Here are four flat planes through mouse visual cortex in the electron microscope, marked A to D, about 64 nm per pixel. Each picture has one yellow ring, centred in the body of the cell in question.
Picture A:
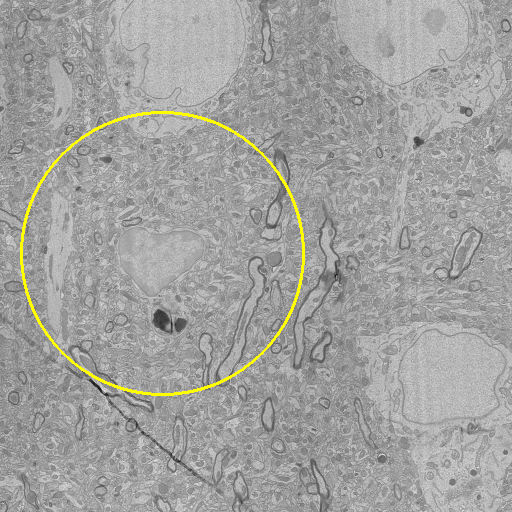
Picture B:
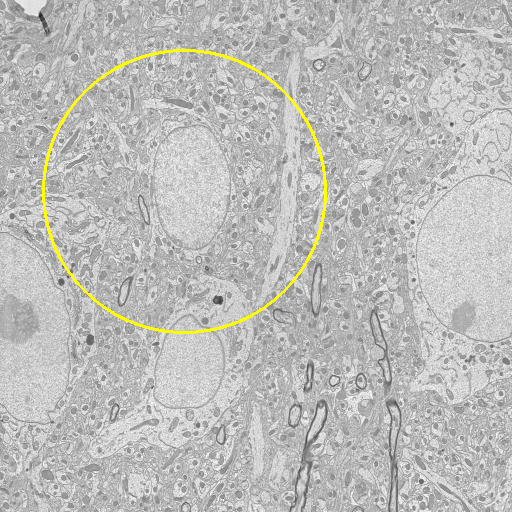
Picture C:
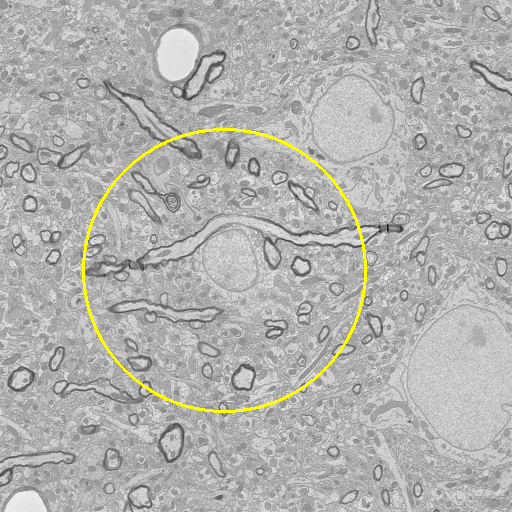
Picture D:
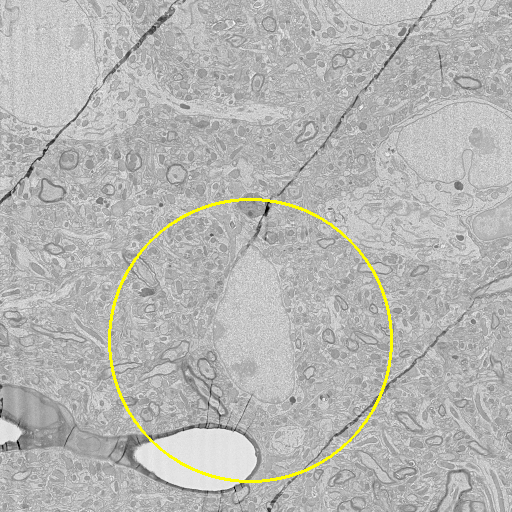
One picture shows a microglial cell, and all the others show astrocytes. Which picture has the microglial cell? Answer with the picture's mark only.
A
